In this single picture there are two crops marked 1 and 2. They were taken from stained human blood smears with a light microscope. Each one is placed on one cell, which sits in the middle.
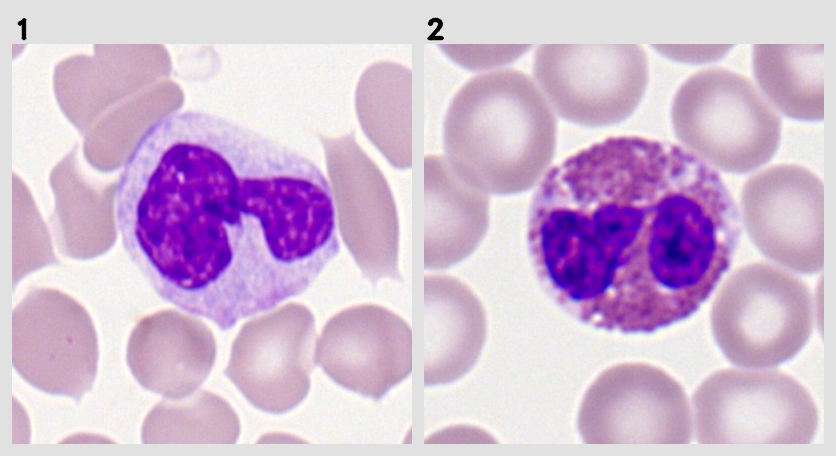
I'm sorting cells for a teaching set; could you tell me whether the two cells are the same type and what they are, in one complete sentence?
No, a monocyte lies at the centre of crop 1, and an eosinophil lies at the centre of crop 2.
